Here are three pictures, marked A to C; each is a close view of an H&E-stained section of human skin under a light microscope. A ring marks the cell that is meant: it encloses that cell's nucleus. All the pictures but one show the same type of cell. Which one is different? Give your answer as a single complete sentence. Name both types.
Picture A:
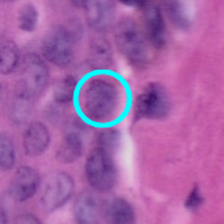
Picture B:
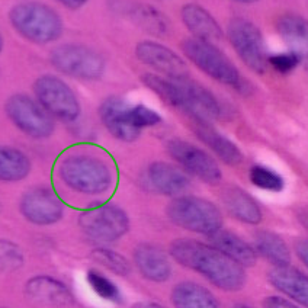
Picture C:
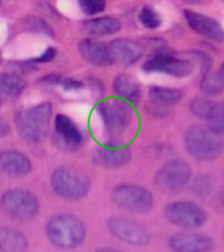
Picture B is the odd one out: it shows a suprabasal keratinocyte, while the others show basal keratinocytes.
